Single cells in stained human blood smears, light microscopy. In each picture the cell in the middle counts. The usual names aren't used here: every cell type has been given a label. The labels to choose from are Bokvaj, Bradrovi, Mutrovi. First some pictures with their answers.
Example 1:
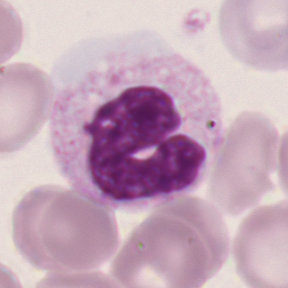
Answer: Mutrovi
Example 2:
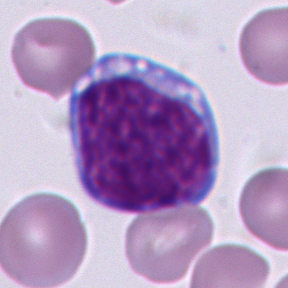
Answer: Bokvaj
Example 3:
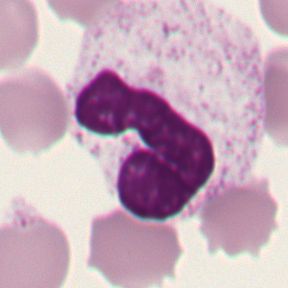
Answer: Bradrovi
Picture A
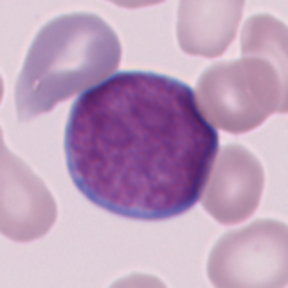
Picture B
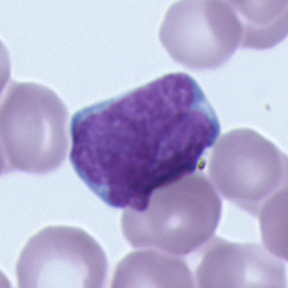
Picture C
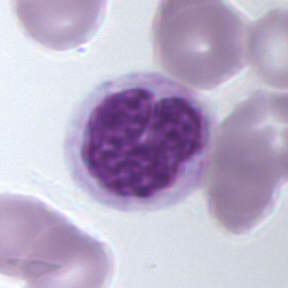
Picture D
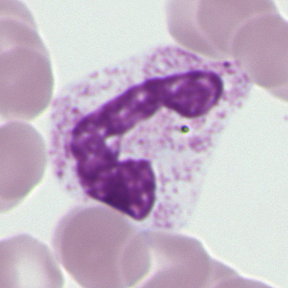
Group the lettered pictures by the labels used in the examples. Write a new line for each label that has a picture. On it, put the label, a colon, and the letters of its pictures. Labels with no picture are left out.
Bokvaj: A, B
Bradrovi: D
Mutrovi: C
